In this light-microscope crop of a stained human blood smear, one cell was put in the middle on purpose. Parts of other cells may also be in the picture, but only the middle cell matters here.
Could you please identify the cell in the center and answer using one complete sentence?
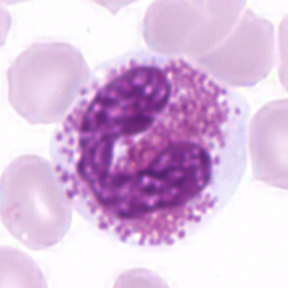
The cell shown in the center of this light-microscope crop is an eosinophil.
